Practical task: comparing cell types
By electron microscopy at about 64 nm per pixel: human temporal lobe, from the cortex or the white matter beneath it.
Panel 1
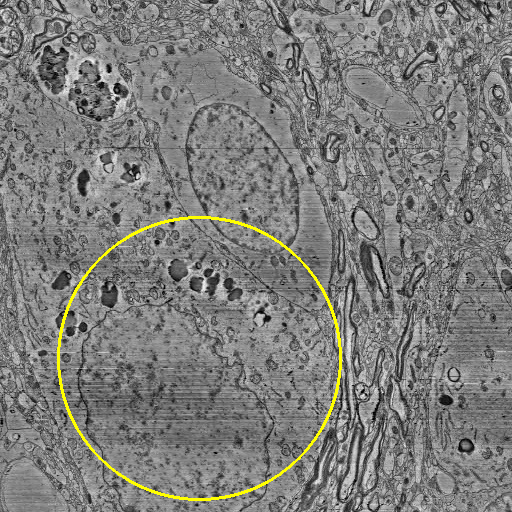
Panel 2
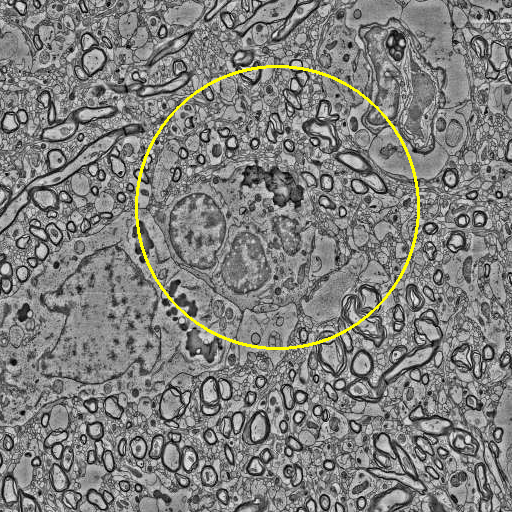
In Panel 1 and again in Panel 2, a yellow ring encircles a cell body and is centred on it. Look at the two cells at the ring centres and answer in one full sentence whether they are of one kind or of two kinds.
The two cells sitting at the ring centres of Panels 1 and 2 are of two kinds.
